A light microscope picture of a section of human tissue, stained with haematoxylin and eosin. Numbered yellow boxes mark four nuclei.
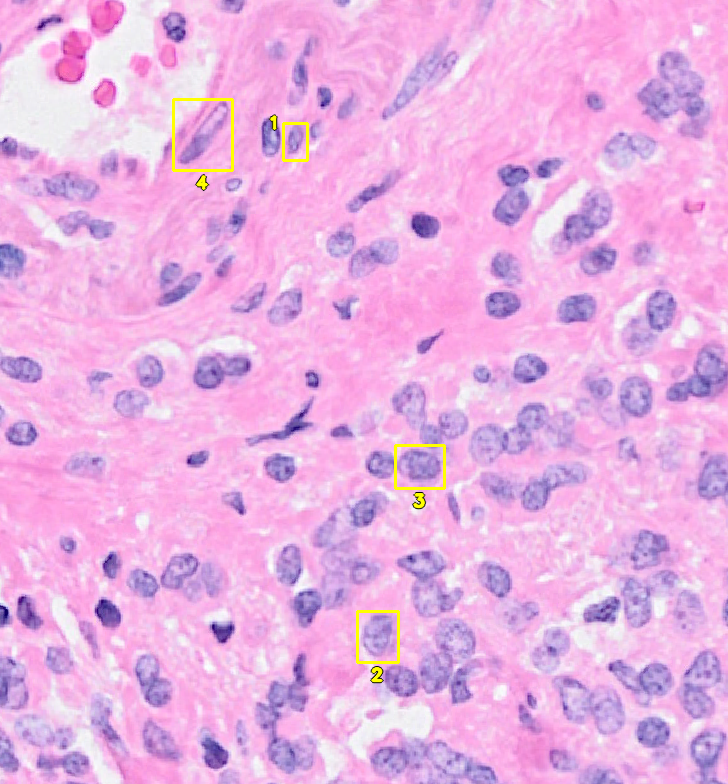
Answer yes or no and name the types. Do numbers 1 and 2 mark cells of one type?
No, just to clarify, cell 1 is an endothelial cell and cell 2 is a carcinoma cell.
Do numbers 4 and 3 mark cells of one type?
No, cell 4 is an endothelial cell, with cell 3 being a carcinoma cell.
